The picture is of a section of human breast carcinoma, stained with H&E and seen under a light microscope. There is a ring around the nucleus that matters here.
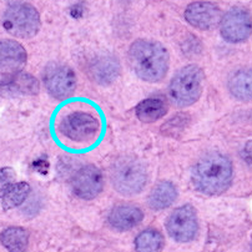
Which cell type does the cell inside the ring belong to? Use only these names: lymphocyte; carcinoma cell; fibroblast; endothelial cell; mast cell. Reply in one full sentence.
In this preparation, the cell inside the ring is a carcinoma cell.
